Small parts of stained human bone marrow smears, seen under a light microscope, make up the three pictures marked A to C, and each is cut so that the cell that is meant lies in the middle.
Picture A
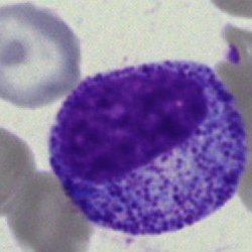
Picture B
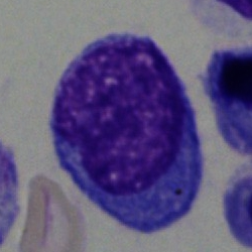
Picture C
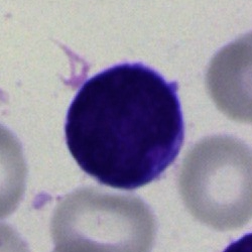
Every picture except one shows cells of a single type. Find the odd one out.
A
